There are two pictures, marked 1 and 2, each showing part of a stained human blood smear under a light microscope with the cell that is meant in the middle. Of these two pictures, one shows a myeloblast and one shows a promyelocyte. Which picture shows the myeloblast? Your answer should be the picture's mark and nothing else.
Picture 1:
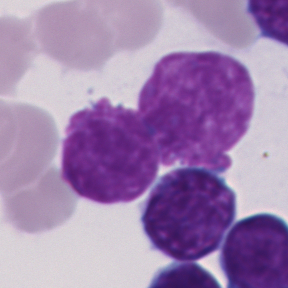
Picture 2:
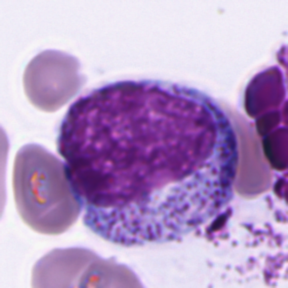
1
